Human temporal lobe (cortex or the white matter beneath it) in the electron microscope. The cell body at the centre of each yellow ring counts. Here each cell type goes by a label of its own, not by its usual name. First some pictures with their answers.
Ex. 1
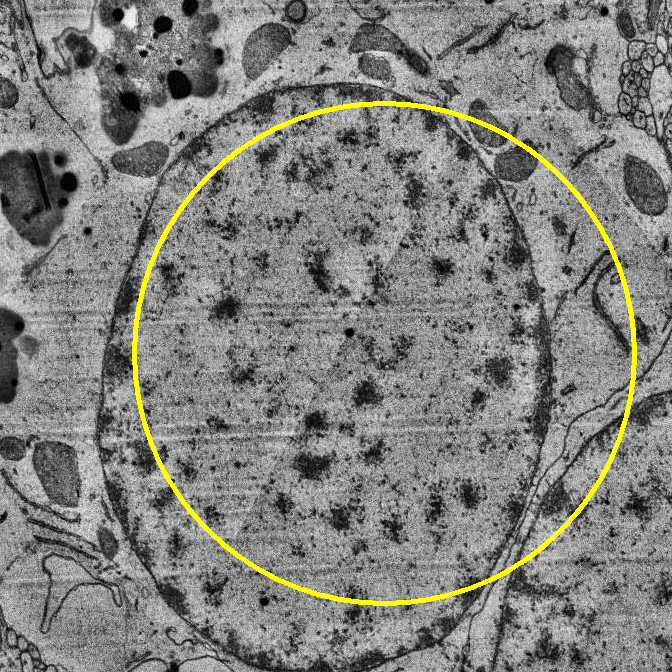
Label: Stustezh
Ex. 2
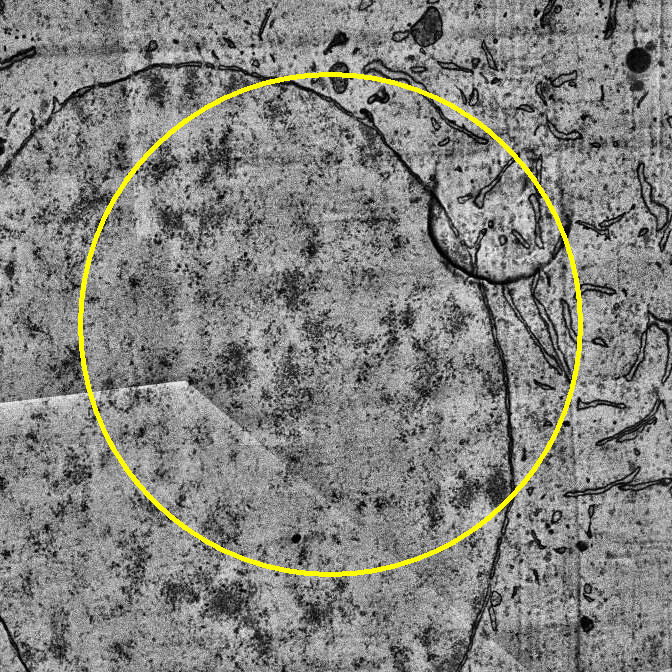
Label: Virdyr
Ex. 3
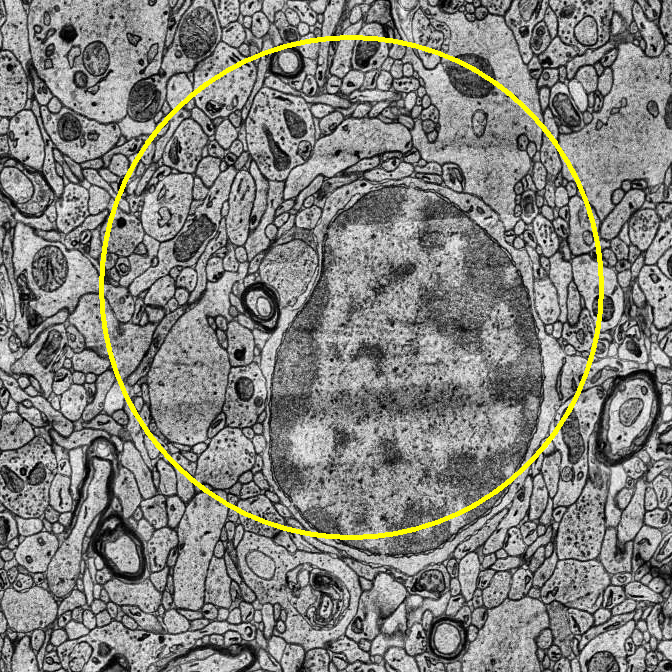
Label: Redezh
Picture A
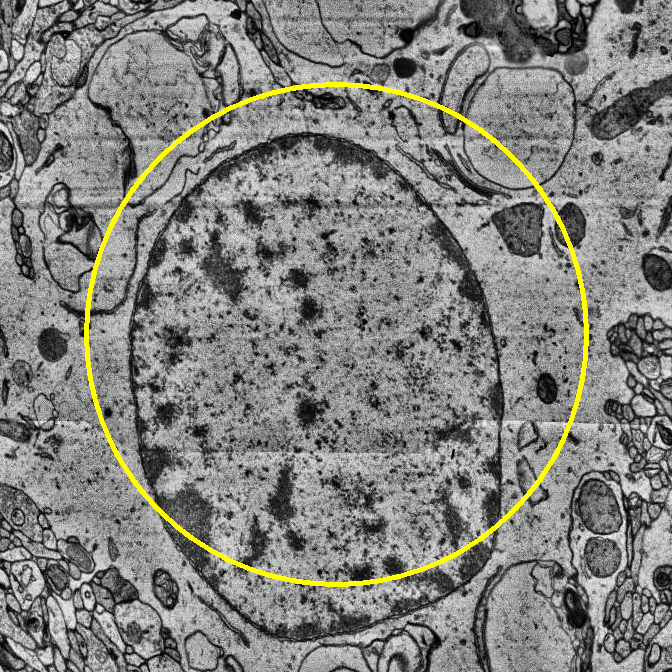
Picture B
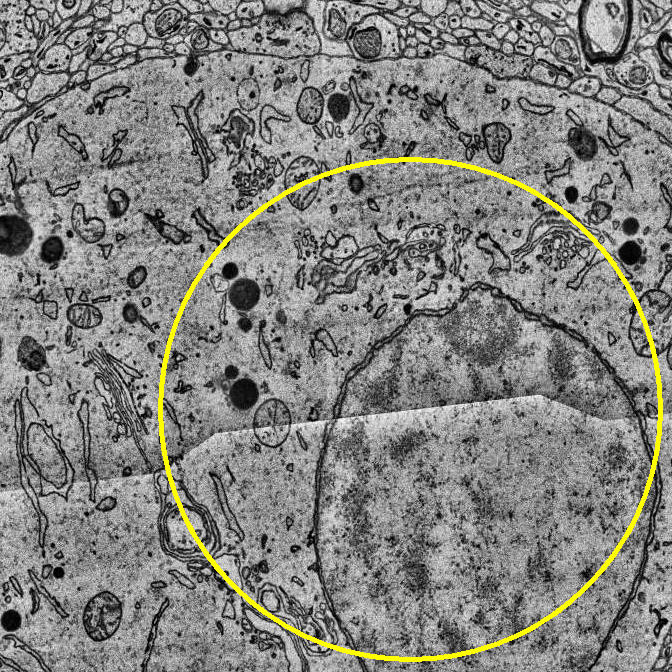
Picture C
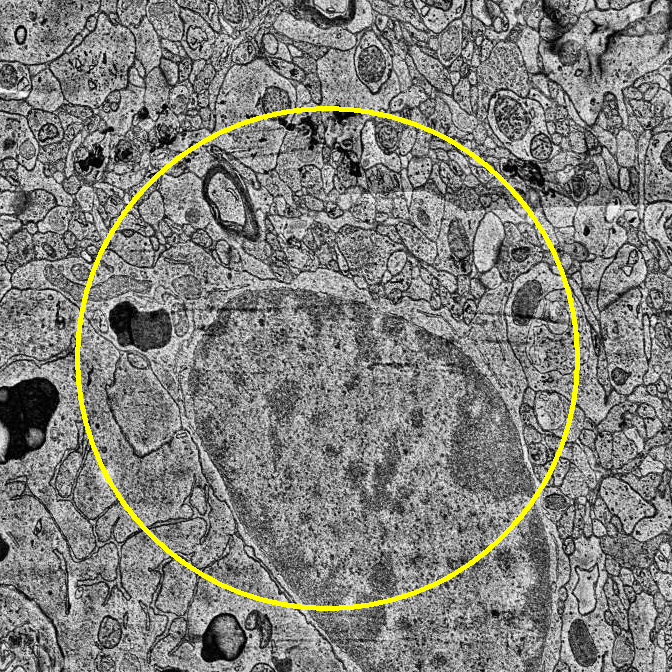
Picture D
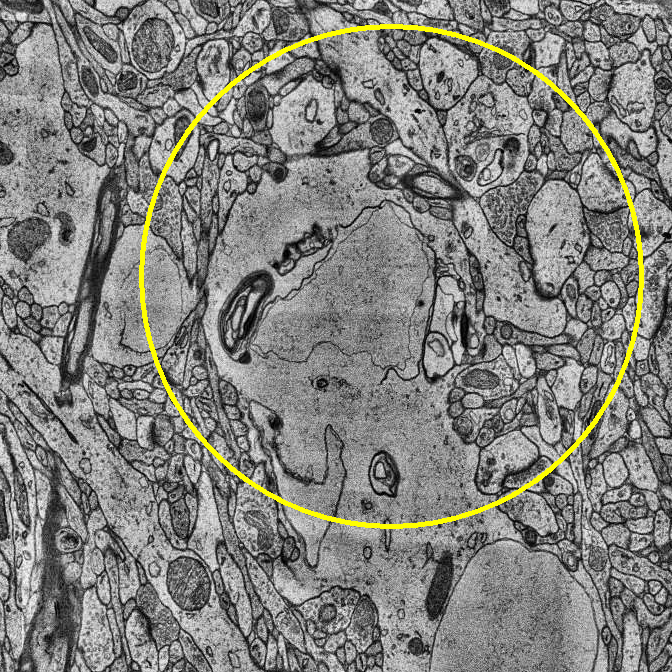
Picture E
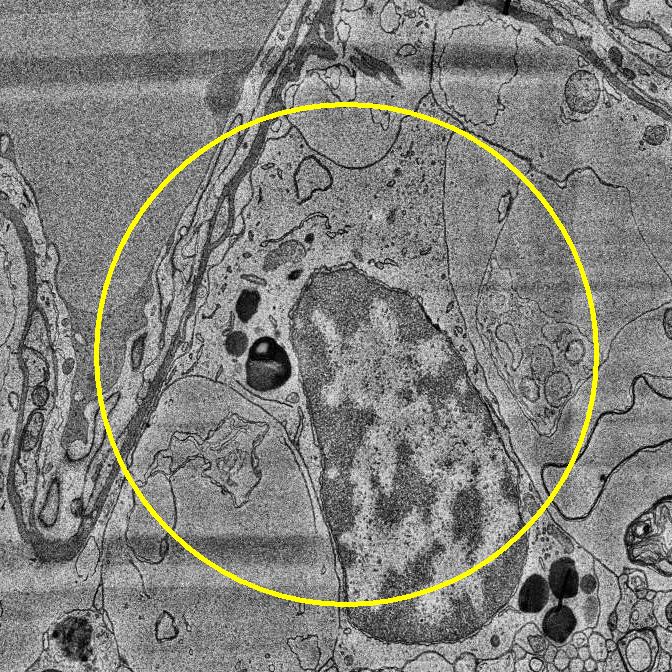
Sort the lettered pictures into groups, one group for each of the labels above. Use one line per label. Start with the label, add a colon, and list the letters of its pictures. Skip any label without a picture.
Stustezh: A, D
Virdyr: B
Redezh: C, E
